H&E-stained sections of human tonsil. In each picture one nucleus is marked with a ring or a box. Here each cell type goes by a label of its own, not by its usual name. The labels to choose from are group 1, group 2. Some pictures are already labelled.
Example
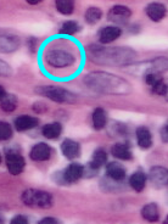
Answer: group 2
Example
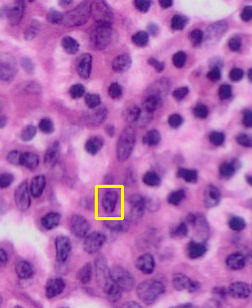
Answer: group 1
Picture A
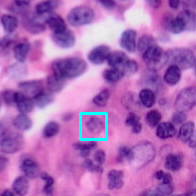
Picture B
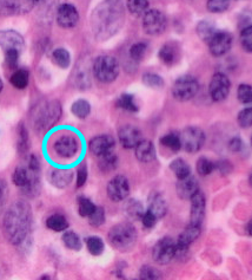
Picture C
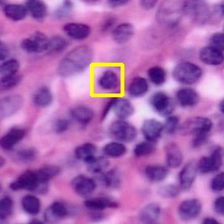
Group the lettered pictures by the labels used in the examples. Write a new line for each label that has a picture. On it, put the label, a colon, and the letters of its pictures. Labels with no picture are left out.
group 1: B
group 2: A, C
